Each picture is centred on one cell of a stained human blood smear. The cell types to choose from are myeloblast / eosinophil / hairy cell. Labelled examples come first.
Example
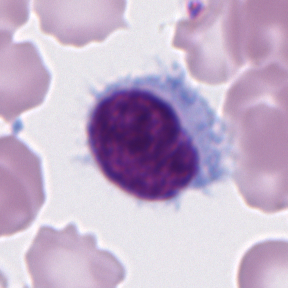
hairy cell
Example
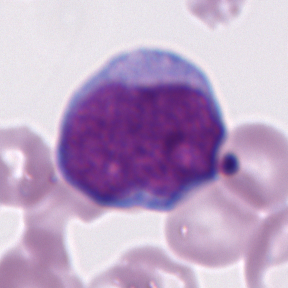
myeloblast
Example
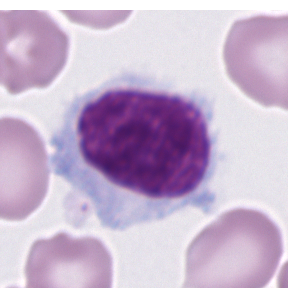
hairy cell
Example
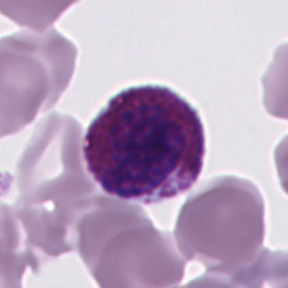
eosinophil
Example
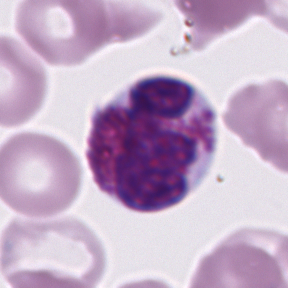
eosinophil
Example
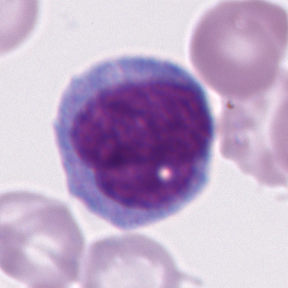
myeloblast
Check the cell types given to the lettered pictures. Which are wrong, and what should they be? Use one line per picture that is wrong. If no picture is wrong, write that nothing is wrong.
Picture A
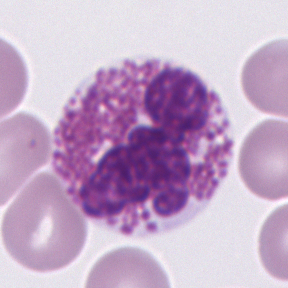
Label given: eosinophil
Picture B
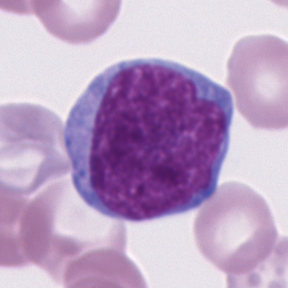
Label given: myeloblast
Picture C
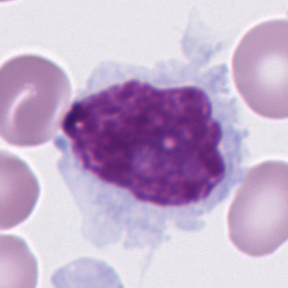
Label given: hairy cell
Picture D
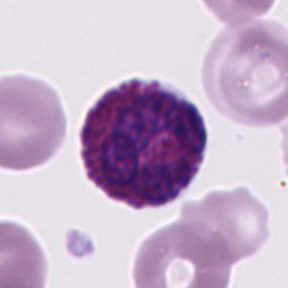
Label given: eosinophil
All labels are correct.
